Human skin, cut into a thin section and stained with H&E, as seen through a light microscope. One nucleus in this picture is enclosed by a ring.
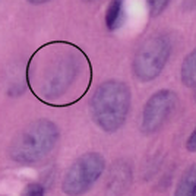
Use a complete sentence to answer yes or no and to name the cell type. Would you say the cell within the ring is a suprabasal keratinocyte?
Yes, the cell within the ring is accurately described as a suprabasal keratinocyte.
